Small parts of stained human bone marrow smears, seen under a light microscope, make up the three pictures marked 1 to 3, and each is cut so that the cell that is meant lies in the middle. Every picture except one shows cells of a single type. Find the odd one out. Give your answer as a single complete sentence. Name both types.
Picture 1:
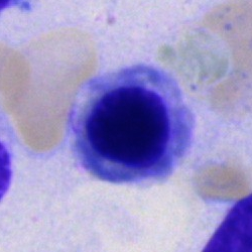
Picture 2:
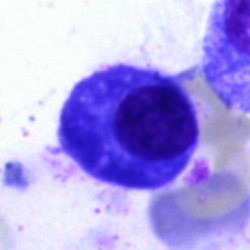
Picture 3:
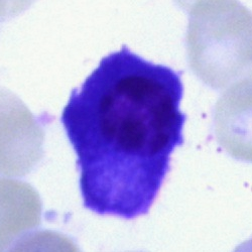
The others show plasma cells, but picture 1 shows an erythroblast.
